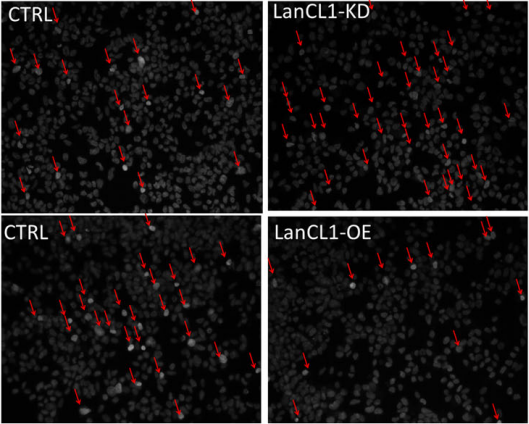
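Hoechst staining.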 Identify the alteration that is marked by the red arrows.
cell death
